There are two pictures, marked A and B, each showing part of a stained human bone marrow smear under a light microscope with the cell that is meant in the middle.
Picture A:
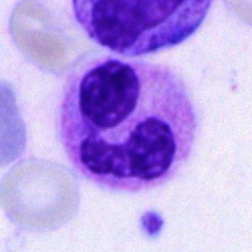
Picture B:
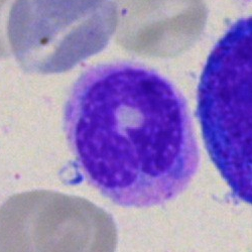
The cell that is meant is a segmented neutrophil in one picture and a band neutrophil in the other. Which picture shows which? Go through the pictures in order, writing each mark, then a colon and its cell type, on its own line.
A: segmented neutrophil
B: band neutrophil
